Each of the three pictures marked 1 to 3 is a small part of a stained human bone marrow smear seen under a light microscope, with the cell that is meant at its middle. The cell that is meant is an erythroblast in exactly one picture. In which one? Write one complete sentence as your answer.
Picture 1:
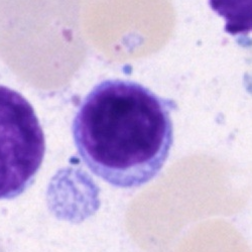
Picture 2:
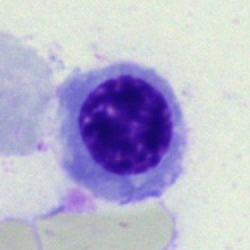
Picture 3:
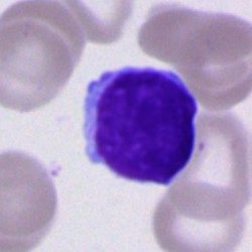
The cell in picture 2 is the erythroblast.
